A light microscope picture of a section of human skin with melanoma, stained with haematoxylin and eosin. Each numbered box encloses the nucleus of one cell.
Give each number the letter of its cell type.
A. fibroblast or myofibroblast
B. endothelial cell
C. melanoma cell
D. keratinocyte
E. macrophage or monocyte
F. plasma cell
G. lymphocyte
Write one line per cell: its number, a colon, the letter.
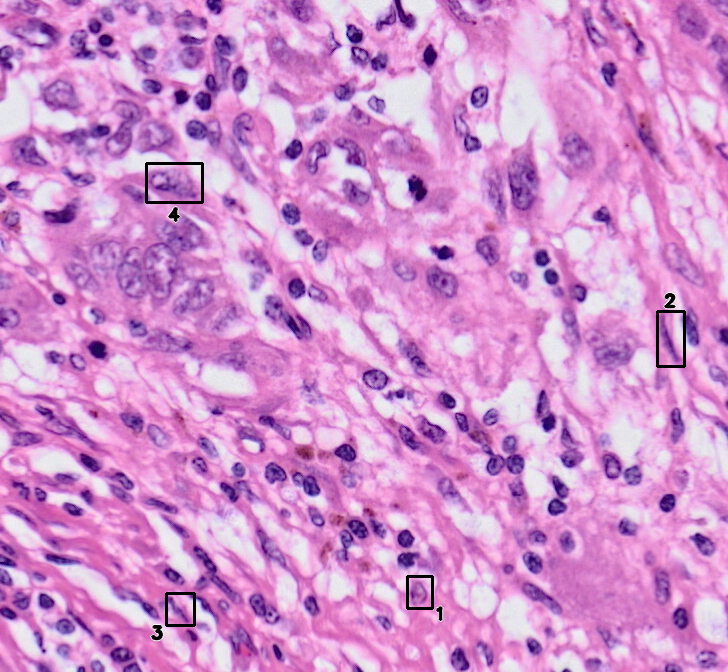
1: E
2: A
3: A
4: C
